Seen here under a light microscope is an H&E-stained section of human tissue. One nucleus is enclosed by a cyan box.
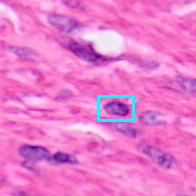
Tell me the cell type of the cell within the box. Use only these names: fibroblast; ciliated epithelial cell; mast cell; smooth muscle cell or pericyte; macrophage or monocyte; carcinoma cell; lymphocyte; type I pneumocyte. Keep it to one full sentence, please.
Within this tissue, the cell within the box is a mast cell.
